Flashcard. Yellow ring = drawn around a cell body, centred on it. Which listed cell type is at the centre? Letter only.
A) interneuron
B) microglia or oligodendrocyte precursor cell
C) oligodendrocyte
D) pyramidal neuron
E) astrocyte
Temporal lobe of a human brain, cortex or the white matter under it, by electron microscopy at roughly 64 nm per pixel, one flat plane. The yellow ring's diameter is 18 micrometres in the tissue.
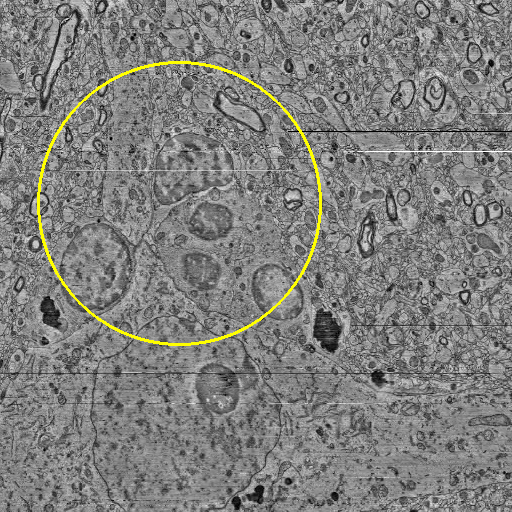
B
